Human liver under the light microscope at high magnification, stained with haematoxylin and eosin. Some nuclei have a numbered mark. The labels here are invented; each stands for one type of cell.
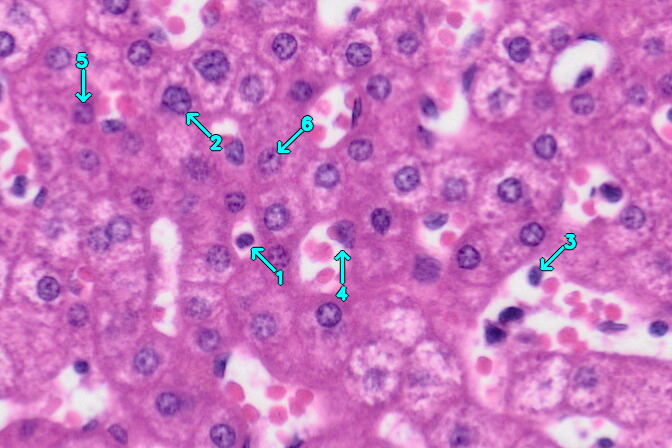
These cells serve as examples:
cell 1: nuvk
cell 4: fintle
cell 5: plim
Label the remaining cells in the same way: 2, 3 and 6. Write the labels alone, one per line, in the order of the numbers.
plim
nuvk
plim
